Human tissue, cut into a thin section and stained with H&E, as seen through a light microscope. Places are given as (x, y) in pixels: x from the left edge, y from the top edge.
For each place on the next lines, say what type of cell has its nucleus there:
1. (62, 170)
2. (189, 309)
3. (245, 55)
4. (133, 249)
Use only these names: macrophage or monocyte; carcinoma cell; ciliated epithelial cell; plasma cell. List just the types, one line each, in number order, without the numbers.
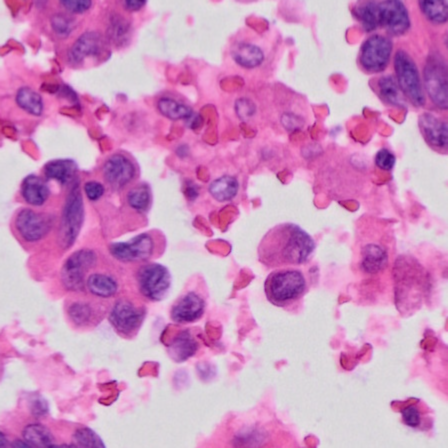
carcinoma cell
carcinoma cell
macrophage or monocyte
carcinoma cell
